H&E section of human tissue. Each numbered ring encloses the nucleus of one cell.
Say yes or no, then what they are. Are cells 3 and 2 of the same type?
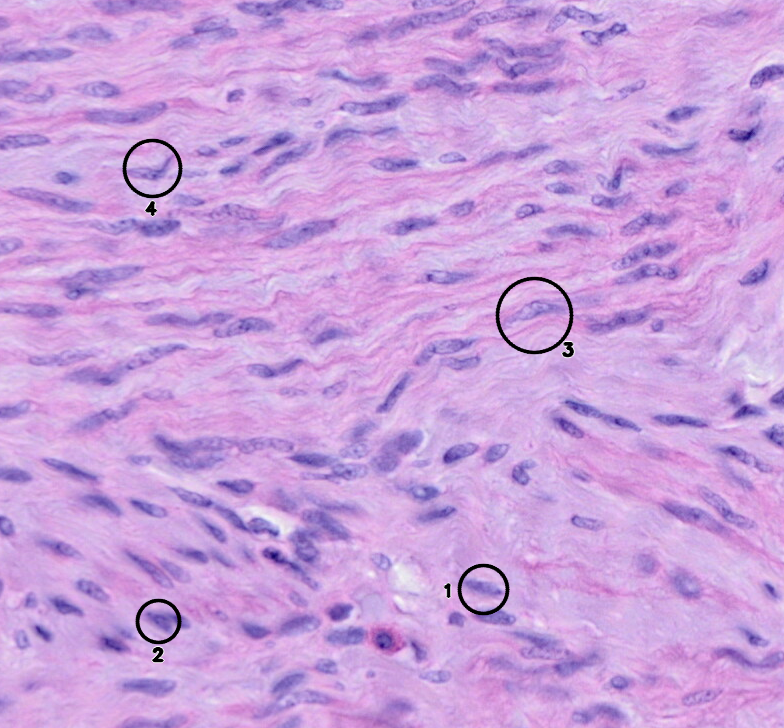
No, with respect, cell 3 is a smooth muscle cell and cell 2 is a fibroblast.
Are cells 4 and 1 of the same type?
No, cell 4 is typed as a smooth muscle cell, and cell 1 is typed as a fibroblast.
